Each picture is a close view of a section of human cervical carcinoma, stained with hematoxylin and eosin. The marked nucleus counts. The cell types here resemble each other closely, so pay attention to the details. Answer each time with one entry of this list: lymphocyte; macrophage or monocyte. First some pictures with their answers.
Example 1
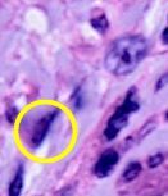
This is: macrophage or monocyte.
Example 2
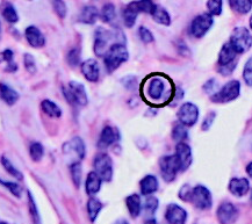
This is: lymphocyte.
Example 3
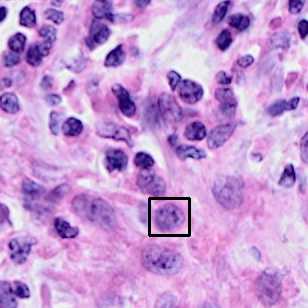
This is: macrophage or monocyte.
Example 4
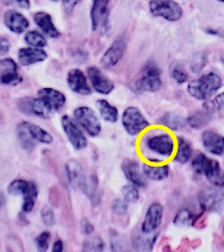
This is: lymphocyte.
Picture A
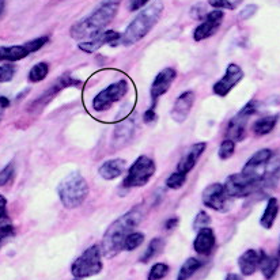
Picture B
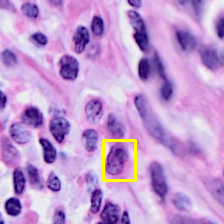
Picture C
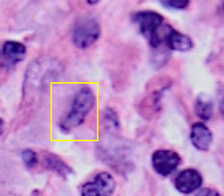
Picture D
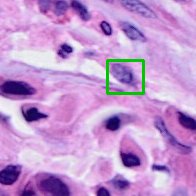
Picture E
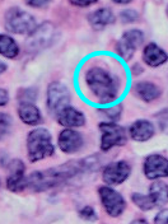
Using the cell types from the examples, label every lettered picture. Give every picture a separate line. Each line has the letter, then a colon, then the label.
A: lymphocyte.
B: macrophage or monocyte.
C: macrophage or monocyte.
D: macrophage or monocyte.
E: lymphocyte.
